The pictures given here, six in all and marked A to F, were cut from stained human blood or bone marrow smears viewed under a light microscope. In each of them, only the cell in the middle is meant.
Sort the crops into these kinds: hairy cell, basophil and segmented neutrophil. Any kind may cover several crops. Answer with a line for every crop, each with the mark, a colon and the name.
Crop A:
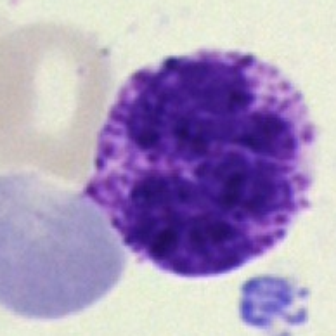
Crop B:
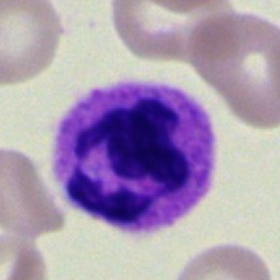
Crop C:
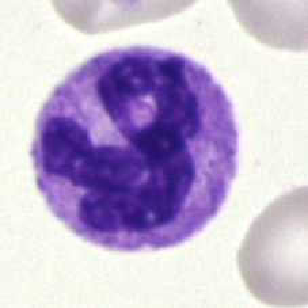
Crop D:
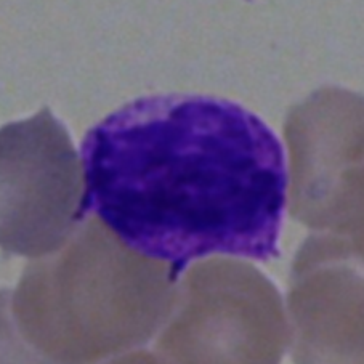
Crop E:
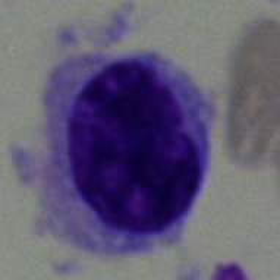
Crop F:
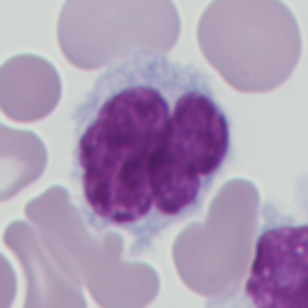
A: basophil
B: segmented neutrophil
C: segmented neutrophil
D: basophil
E: hairy cell
F: hairy cell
